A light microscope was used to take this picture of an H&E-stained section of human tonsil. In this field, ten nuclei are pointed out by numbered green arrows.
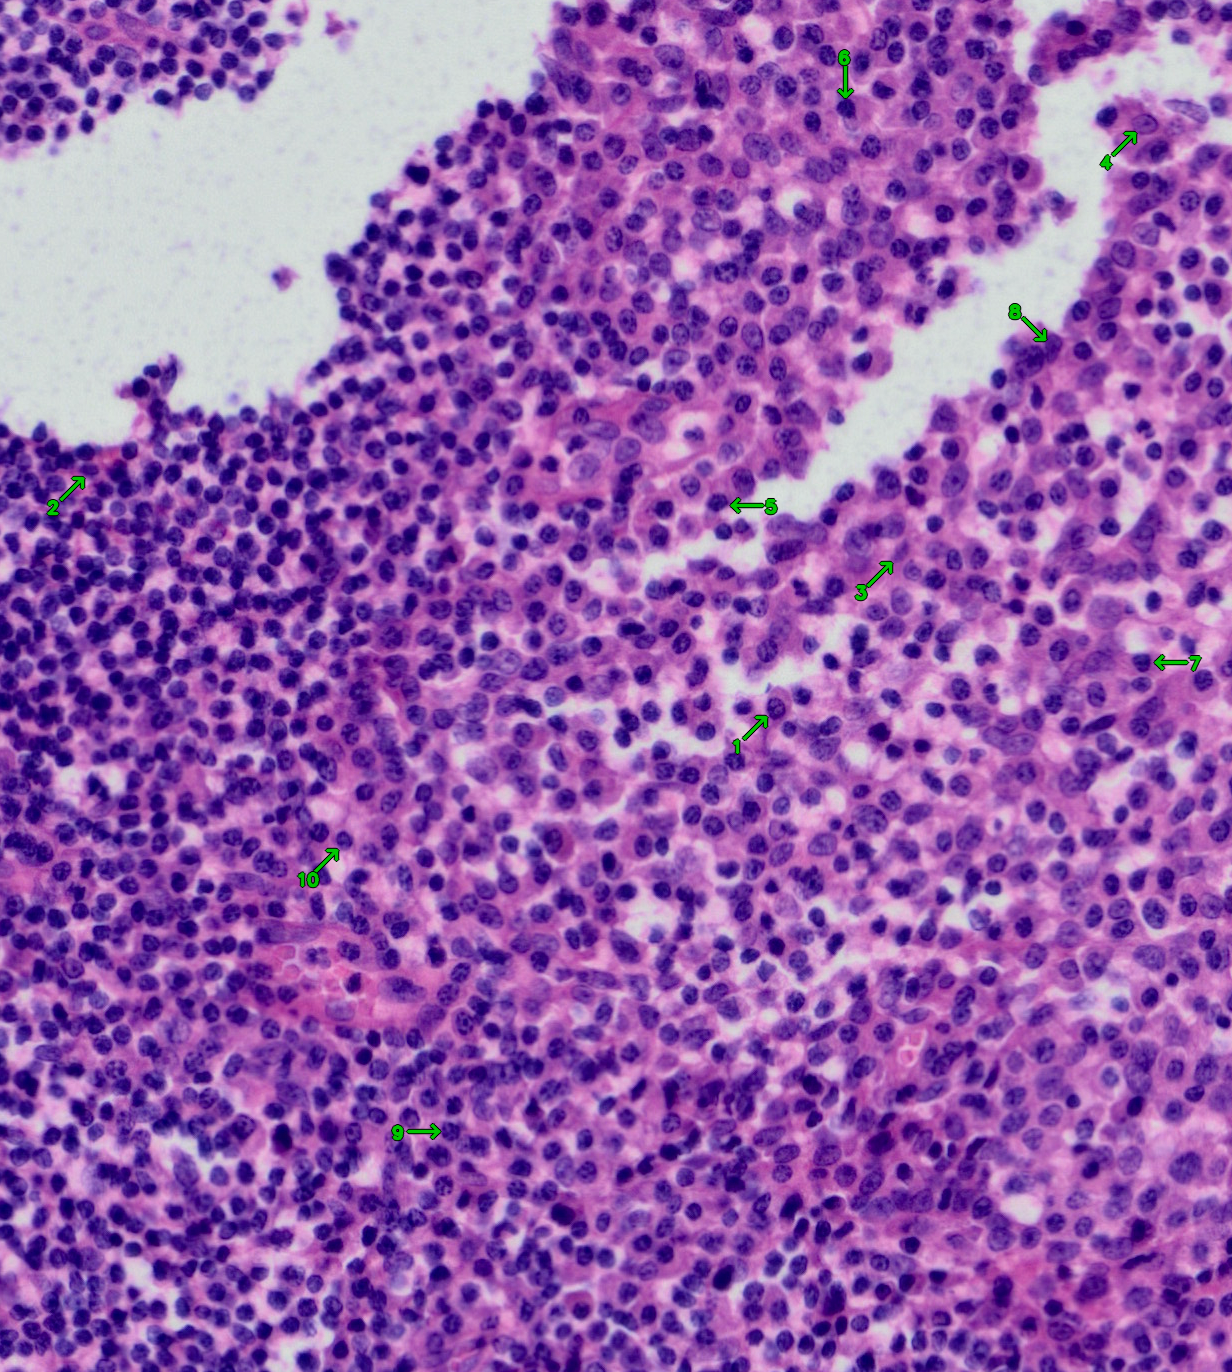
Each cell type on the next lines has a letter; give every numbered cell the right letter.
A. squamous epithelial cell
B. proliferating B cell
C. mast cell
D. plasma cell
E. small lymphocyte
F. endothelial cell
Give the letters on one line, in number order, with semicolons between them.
D; E; A; A; D; D; D; A; D; D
